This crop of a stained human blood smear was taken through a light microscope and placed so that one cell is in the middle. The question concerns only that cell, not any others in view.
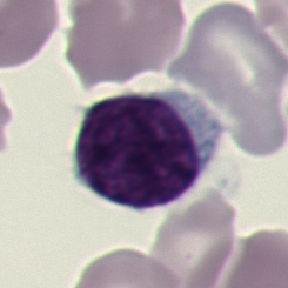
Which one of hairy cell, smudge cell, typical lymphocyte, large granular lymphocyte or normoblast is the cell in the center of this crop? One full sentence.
Within this crop, a hairy cell occupies the central position.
